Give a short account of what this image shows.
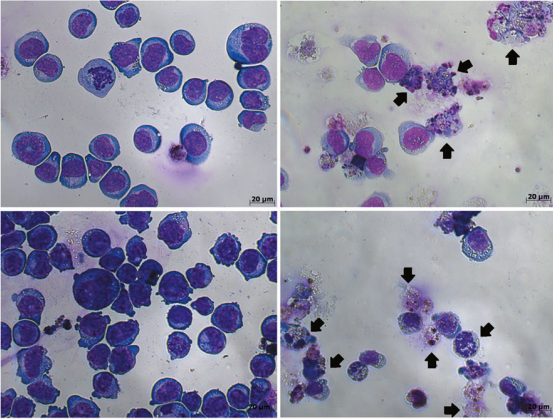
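In the left-hand images the cells are intact, round cells, each with a large purple nucleus and a narrow rim of blue cytoplasm, lying close together. In the right-hand images many cells are broken up: their outlines are irregular, and clumps of small dark purple granules, the apoptotic vesicles, bulge from their edges, with pale granular debris scattered around them.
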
